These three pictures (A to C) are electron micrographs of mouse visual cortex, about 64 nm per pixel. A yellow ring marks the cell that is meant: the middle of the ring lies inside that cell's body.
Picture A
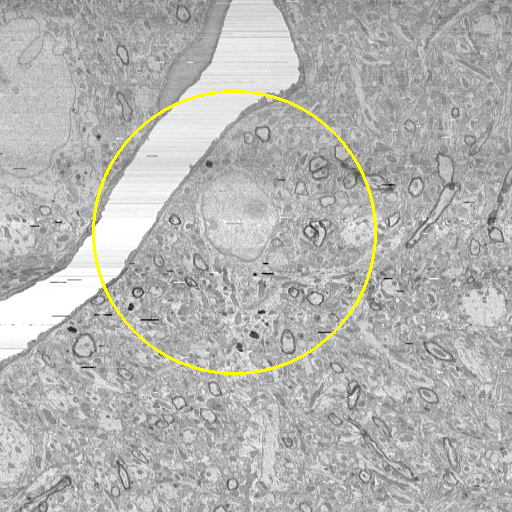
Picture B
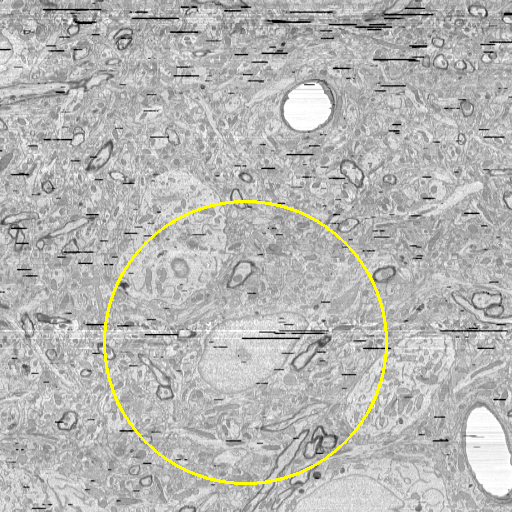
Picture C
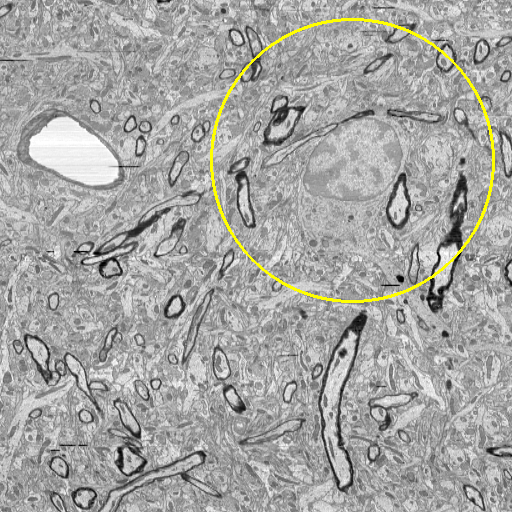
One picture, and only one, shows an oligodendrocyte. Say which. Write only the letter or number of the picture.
C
